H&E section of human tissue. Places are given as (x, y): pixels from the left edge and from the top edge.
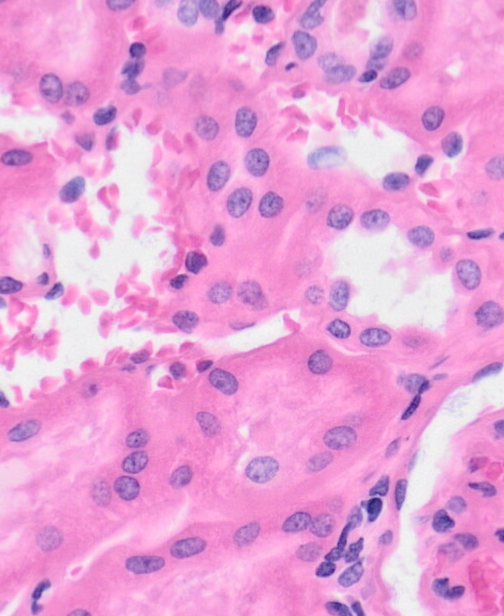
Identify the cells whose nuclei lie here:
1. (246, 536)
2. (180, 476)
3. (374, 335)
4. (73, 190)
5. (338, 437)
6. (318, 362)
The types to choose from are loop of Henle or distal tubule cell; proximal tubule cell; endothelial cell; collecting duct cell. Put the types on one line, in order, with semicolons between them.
proximal tubule cell; proximal tubule cell; collecting duct cell; endothelial cell; proximal tubule cell; proximal tubule cell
